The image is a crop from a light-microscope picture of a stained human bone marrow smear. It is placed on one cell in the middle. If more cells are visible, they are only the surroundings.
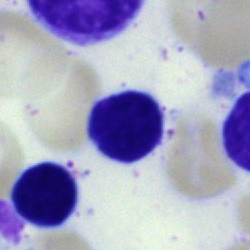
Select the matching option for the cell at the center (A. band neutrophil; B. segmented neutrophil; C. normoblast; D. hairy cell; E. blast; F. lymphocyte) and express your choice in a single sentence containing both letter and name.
Option F is accurate; the centrally placed cell is a lymphocyte.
